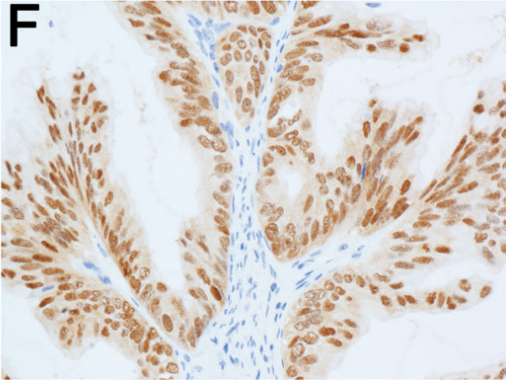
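Tumor cells form papillary fronds lined by tall columnar cells around thin cores of loose stroma. The nuclei of the lining cells are elongated to oval, crowded and partly stratified, and most are stained brown. The cytoplasm is only faintly tinted, while the spindle-shaped nuclei of the stromal cores stay blue.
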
